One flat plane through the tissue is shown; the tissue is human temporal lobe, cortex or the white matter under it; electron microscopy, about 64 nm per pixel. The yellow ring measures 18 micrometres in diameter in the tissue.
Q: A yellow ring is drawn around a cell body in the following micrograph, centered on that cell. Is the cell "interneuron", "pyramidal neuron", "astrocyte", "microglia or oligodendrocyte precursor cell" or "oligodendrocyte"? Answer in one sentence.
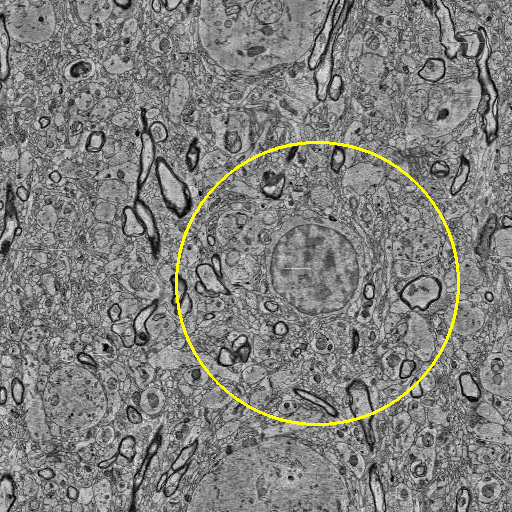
The cell in the center of the ring is an oligodendrocyte.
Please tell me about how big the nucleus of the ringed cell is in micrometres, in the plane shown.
About 6 micrometers across, in this plane.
